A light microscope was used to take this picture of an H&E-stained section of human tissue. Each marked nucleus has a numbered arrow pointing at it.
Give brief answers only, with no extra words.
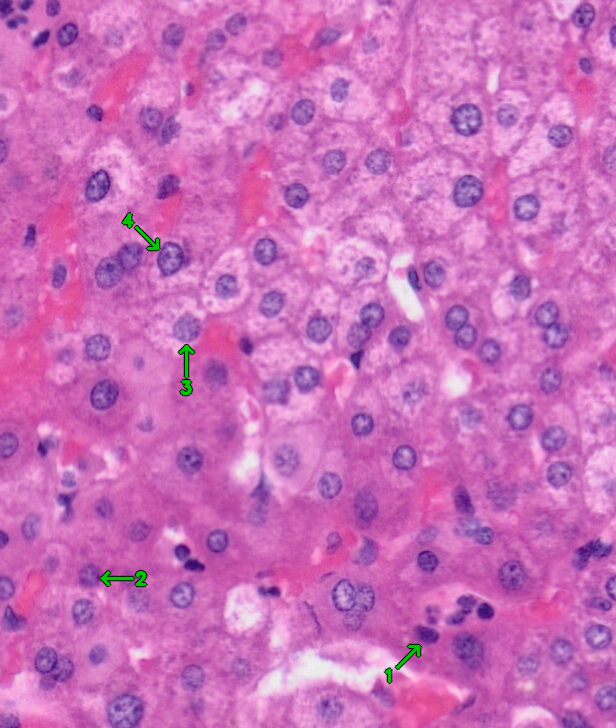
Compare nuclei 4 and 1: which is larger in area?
4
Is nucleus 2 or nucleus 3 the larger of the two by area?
3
